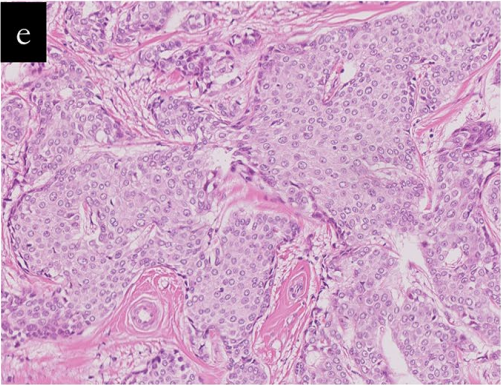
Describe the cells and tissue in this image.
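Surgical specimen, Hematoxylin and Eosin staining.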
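Invasive carcinoma with a solid growth pattern, forming cohesive nests and sheets of polygonal tumour cells. Nuclei are round to oval, moderately sized and vesicular, with moderate amounts of pale eosinophilic cytoplasm. Bands of pink collagenous stroma separate and surround the nests, giving a nested infiltrative arrangement. Occasional small clefts or lumina appear within the nests.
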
